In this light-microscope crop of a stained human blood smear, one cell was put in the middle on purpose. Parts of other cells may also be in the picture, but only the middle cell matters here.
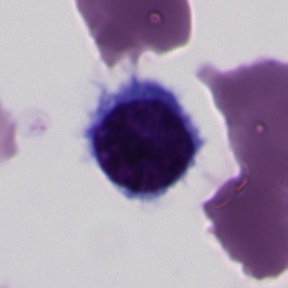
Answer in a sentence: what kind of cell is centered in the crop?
Within this crop, a hairy cell occupies the central position.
